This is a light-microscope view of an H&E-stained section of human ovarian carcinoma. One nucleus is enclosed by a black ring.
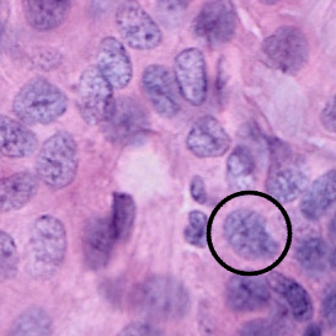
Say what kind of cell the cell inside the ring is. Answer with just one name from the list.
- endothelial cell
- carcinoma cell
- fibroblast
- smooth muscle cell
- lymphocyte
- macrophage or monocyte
carcinoma cell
